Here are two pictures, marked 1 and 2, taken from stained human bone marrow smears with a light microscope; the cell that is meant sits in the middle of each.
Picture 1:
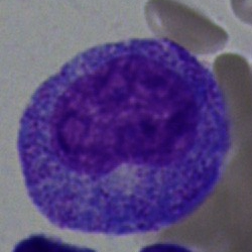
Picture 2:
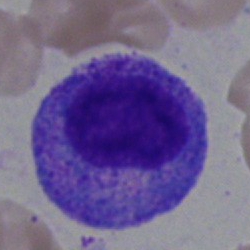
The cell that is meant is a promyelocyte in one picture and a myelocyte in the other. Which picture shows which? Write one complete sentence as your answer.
Picture 1 is of a promyelocyte, and picture 2 is of a myelocyte.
